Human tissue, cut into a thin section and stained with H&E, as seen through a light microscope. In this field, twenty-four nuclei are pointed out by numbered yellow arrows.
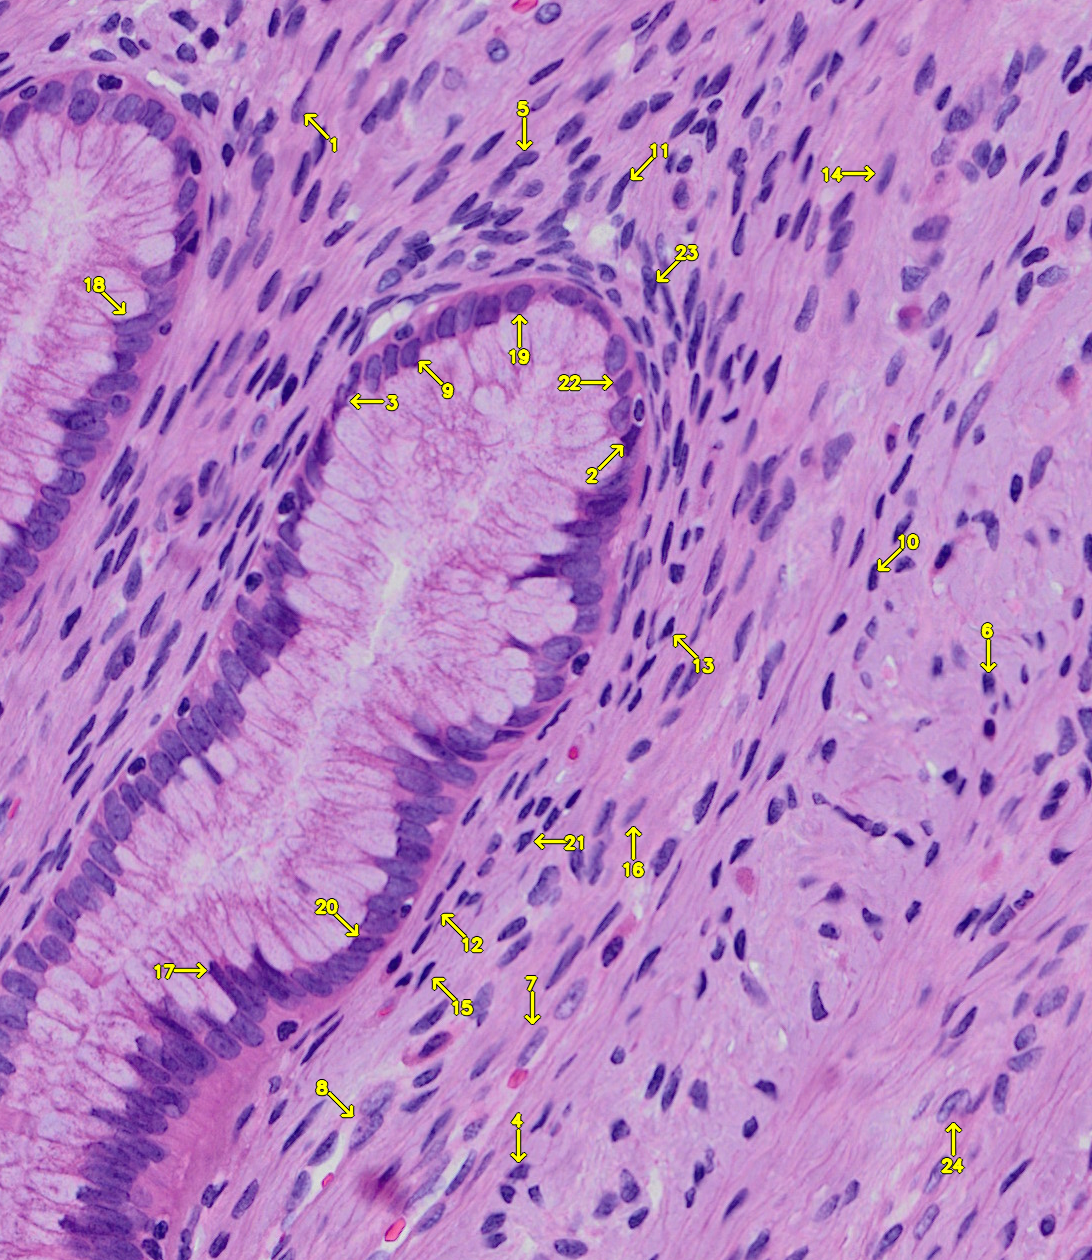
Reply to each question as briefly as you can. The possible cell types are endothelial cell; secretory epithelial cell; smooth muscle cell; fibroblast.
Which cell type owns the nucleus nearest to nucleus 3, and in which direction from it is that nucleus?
a secretory epithelial cell; above and to the right of nucleus 3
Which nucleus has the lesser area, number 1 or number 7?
1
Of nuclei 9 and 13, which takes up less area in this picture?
13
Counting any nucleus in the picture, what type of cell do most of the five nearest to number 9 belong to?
secretory epithelial cell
